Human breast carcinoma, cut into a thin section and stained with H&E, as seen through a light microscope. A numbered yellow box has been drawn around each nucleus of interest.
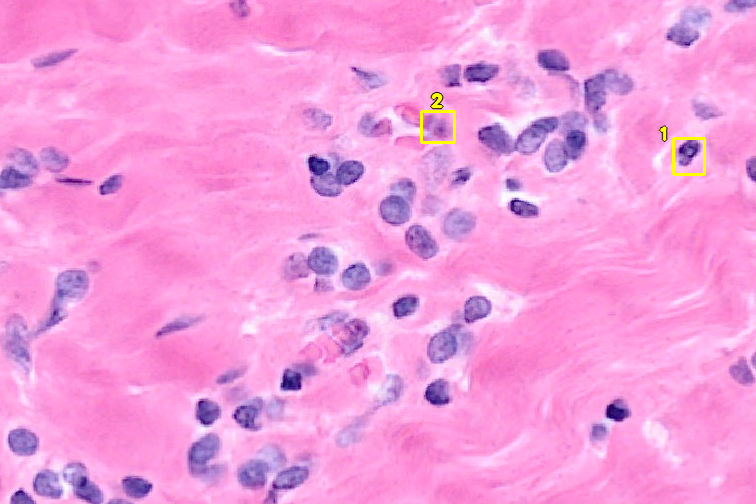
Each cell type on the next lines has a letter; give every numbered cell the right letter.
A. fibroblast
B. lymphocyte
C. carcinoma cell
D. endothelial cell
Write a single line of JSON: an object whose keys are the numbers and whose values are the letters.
{"1": "B", "2": "D"}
